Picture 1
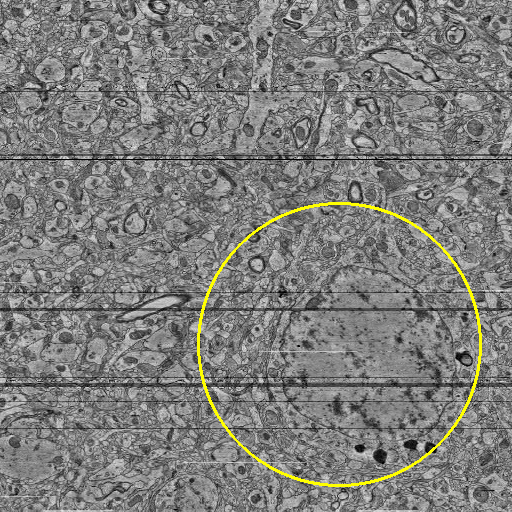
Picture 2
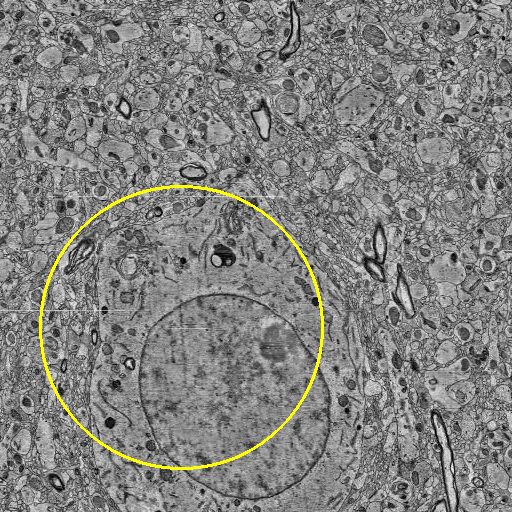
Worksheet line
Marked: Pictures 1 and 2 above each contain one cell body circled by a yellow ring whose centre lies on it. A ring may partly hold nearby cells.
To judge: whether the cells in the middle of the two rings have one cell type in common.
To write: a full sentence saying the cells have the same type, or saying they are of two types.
The cells in the middle of the rings in Picture 1 and Picture 2 have the same type.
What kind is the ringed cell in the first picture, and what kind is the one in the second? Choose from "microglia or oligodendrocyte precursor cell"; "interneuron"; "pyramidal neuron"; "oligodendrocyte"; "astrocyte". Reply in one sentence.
Each of the two rings is centred on a pyramidal neuron.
